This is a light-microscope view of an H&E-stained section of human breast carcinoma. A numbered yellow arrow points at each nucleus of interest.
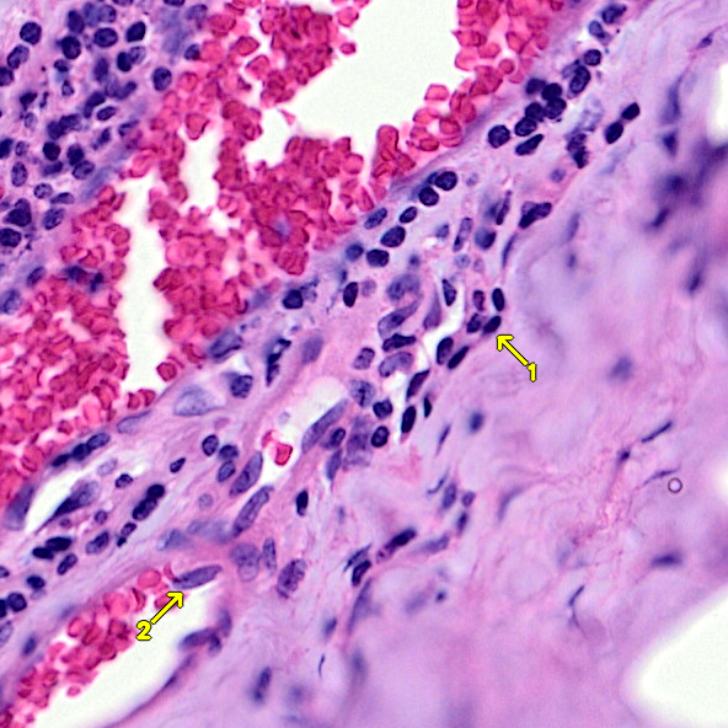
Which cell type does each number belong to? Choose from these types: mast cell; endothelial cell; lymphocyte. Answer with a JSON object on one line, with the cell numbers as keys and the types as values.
{"1": "lymphocyte", "2": "endothelial cell"}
